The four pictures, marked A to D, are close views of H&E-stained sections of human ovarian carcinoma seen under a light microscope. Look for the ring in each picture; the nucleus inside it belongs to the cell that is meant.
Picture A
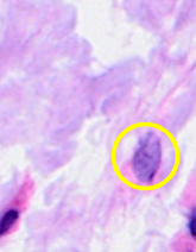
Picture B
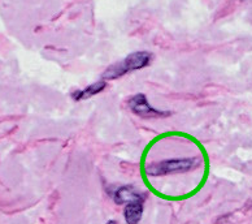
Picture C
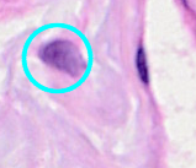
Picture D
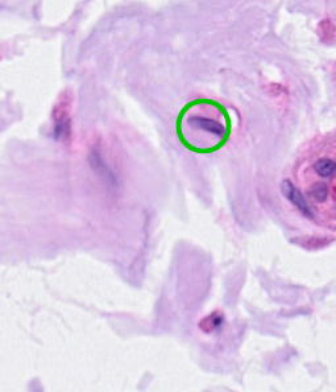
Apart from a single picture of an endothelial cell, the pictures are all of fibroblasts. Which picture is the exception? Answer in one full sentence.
The picture with the endothelial cell is D.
